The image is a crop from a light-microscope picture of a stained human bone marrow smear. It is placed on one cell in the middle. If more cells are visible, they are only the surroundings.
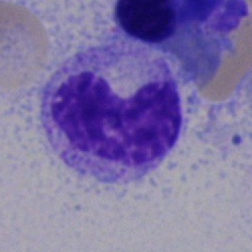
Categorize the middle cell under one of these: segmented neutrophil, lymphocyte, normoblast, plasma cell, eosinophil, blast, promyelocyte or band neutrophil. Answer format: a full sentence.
The centrally positioned cell in the crop represents a band neutrophil.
